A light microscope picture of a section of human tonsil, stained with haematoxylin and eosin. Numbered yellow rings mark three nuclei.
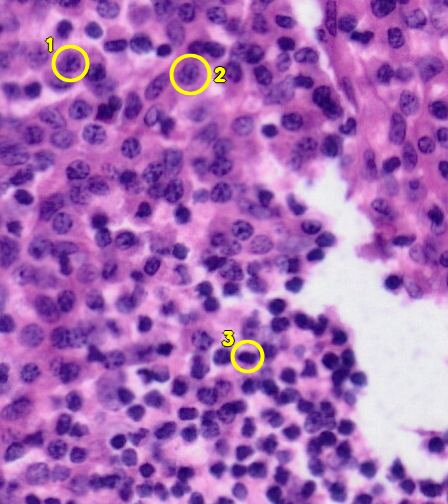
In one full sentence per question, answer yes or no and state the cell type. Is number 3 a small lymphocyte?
Yes, kindly take note: the cell numbered 3 is a small lymphocyte.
